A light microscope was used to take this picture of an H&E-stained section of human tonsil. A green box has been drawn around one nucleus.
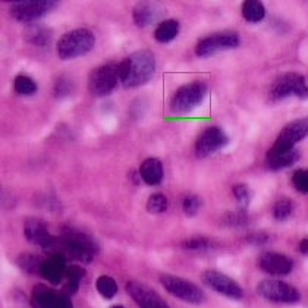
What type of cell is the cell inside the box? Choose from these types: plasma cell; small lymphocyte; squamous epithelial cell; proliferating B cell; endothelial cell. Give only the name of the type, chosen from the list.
squamous epithelial cell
